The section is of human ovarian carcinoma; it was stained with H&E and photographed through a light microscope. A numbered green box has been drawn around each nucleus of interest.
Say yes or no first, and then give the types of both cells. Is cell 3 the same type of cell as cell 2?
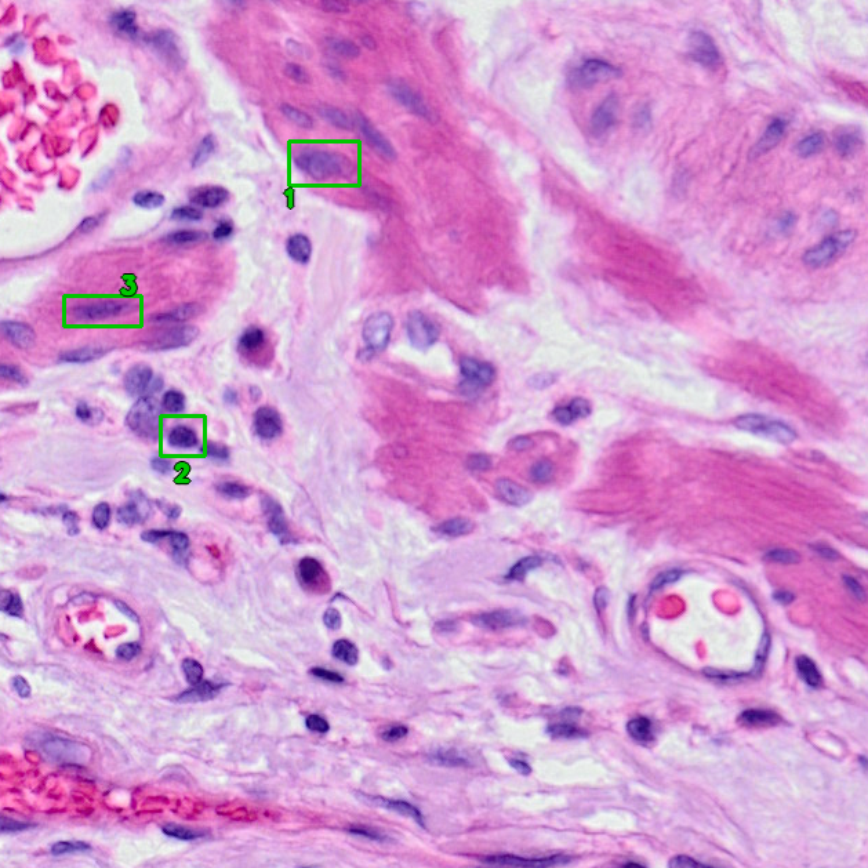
No, cell 3 is a smooth muscle cell and cell 2 is a lymphocyte.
